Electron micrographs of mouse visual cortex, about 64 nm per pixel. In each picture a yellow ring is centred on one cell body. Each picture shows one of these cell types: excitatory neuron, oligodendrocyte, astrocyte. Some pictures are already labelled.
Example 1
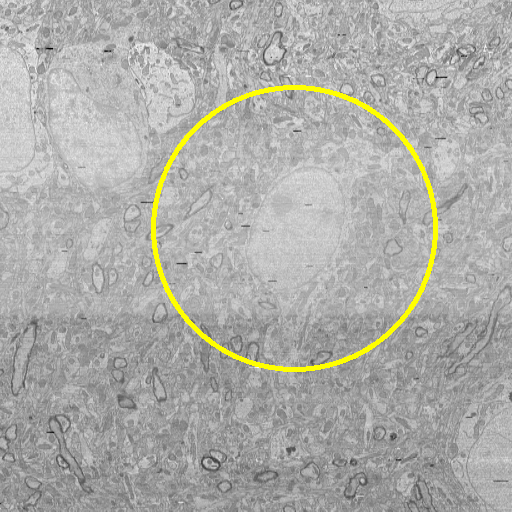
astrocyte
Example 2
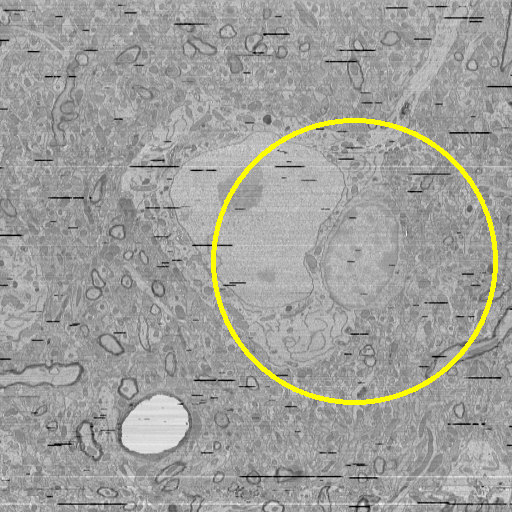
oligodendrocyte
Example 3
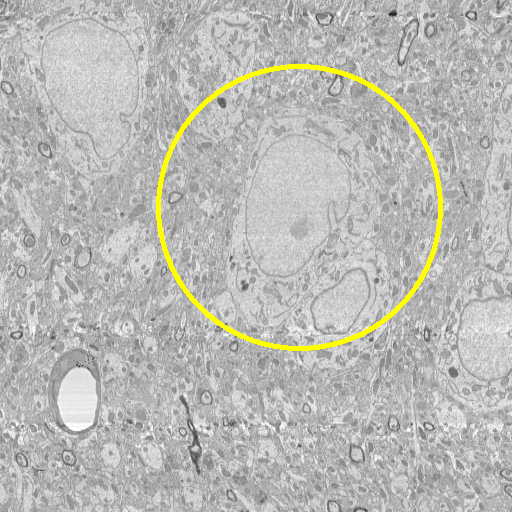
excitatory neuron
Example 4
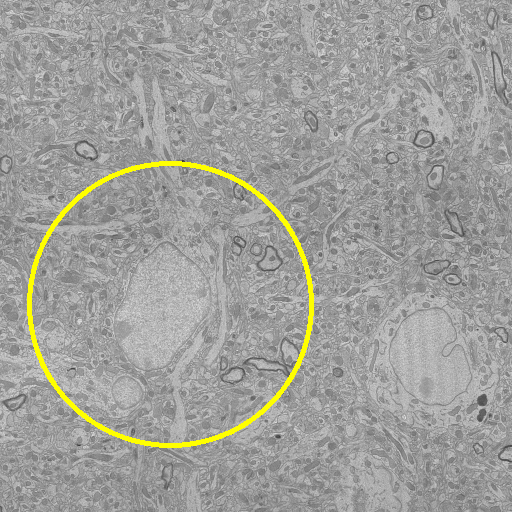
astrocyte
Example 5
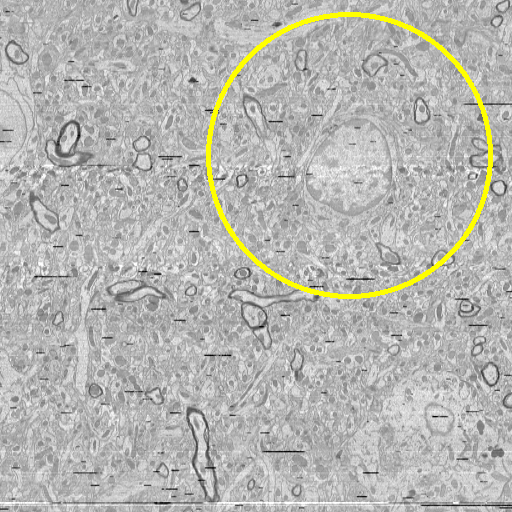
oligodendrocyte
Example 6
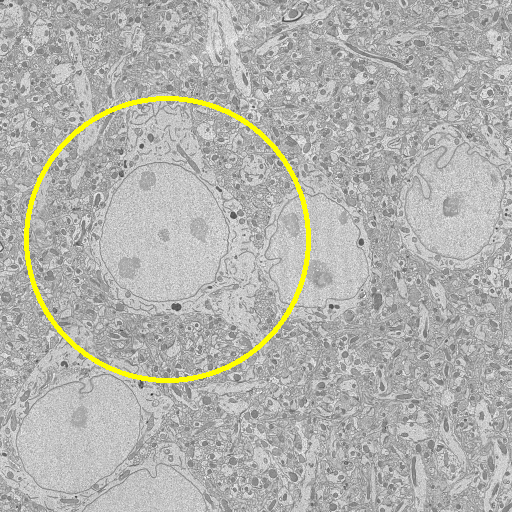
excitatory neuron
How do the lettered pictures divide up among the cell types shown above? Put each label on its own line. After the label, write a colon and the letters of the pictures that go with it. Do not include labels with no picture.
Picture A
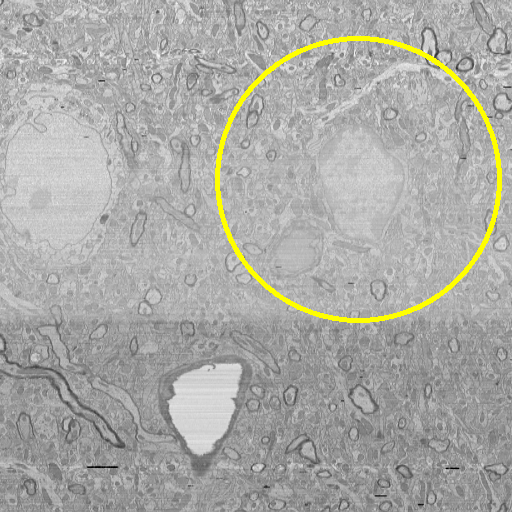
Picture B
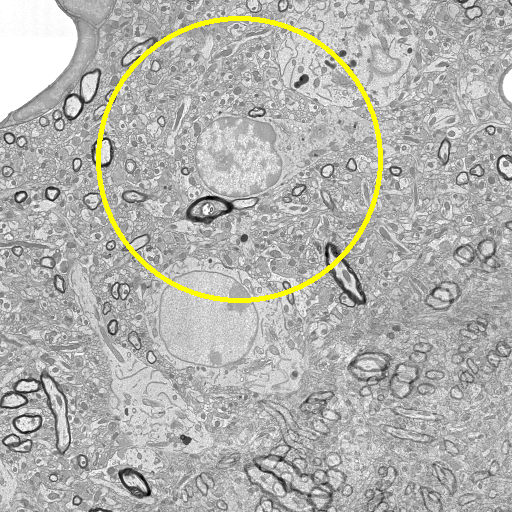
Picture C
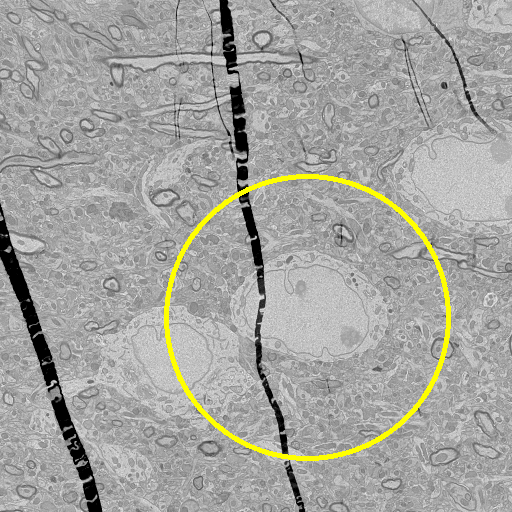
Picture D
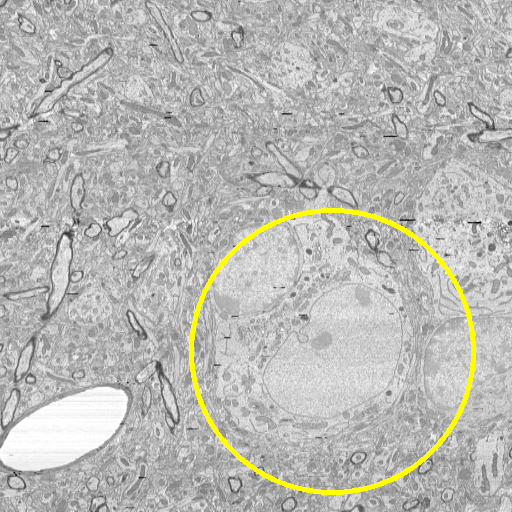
excitatory neuron: C, D
oligodendrocyte: A, B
